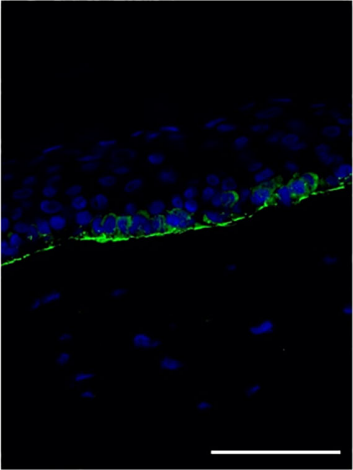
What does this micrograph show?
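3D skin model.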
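Some faint green also sits around the lowest row of cells. Under this line lies the supporting tissue with a few scattered, elongated nuclei. The sharp boundary drawn by the green line marks where the epithelium is anchored.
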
